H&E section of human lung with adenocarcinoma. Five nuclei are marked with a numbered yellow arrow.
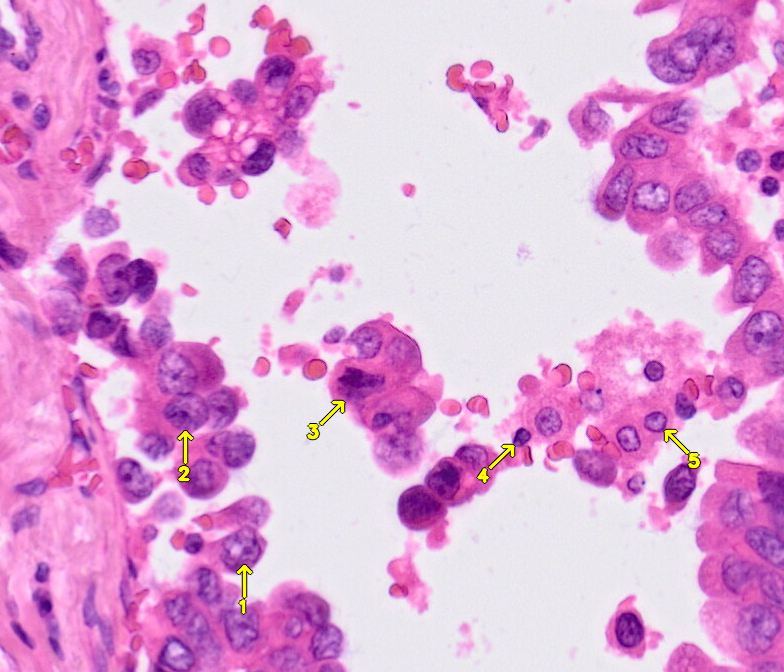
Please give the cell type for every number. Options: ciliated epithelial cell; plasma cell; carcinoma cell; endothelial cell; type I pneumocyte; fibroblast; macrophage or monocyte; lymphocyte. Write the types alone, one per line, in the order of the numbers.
carcinoma cell
carcinoma cell
carcinoma cell
lymphocyte
macrophage or monocyte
